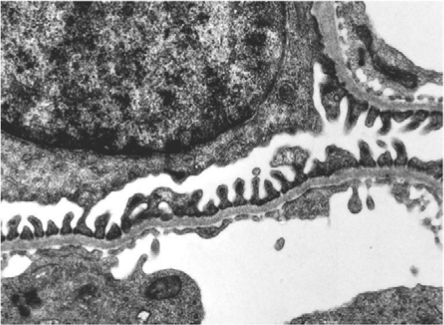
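This electron micrograph shows part of a glomerular capillary wall with a podocyte cell body. A large nucleus with granular chromatin fills the upper left. Below it, a thin, grey basement membrane runs across the image, and along its upper side sits a regular row of narrow, finger-like foot processes separated by small gaps. Beneath the membrane lies an open, pale lumen.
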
